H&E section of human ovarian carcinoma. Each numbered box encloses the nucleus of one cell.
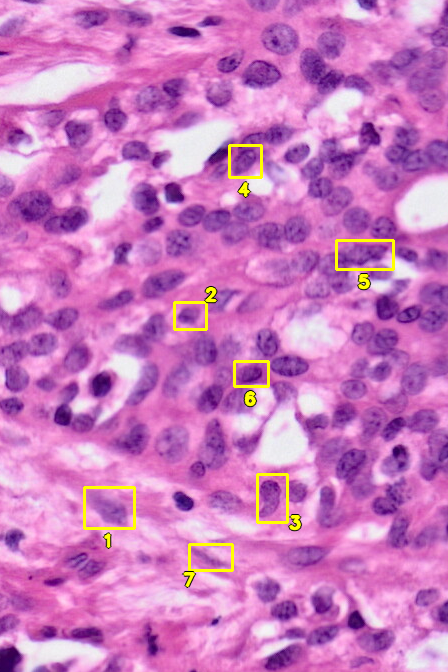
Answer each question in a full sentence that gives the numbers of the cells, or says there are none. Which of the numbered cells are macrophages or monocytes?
The cells that have numbers 2 and 3 are macrophages or monocytes.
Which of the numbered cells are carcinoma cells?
Cells numbered 4, 5 and 6 belong to the group of carcinoma cells.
